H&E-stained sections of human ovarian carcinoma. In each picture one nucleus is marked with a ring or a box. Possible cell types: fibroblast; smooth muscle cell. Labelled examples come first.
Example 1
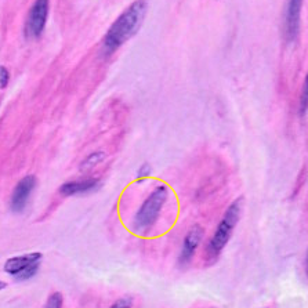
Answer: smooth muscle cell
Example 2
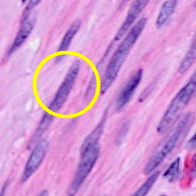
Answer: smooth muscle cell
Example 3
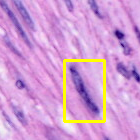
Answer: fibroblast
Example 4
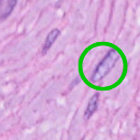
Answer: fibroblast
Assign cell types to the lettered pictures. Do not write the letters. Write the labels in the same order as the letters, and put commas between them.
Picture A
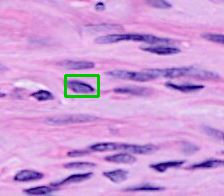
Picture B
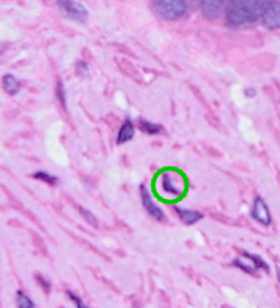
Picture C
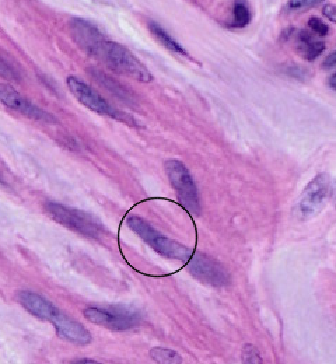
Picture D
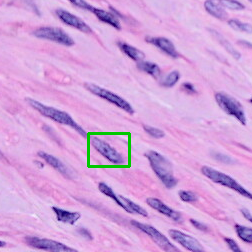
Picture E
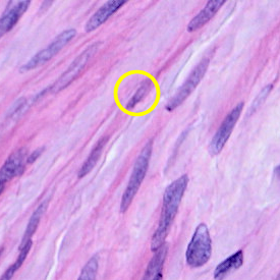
smooth muscle cell, fibroblast, smooth muscle cell, smooth muscle cell, smooth muscle cell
